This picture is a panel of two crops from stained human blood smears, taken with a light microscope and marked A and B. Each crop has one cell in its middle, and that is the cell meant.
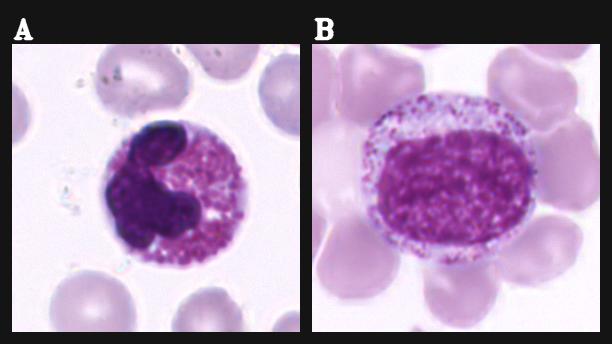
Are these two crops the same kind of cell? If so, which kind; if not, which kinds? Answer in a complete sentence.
No, an eosinophil and a myelocyte are found in crop A and crop B, respectively.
